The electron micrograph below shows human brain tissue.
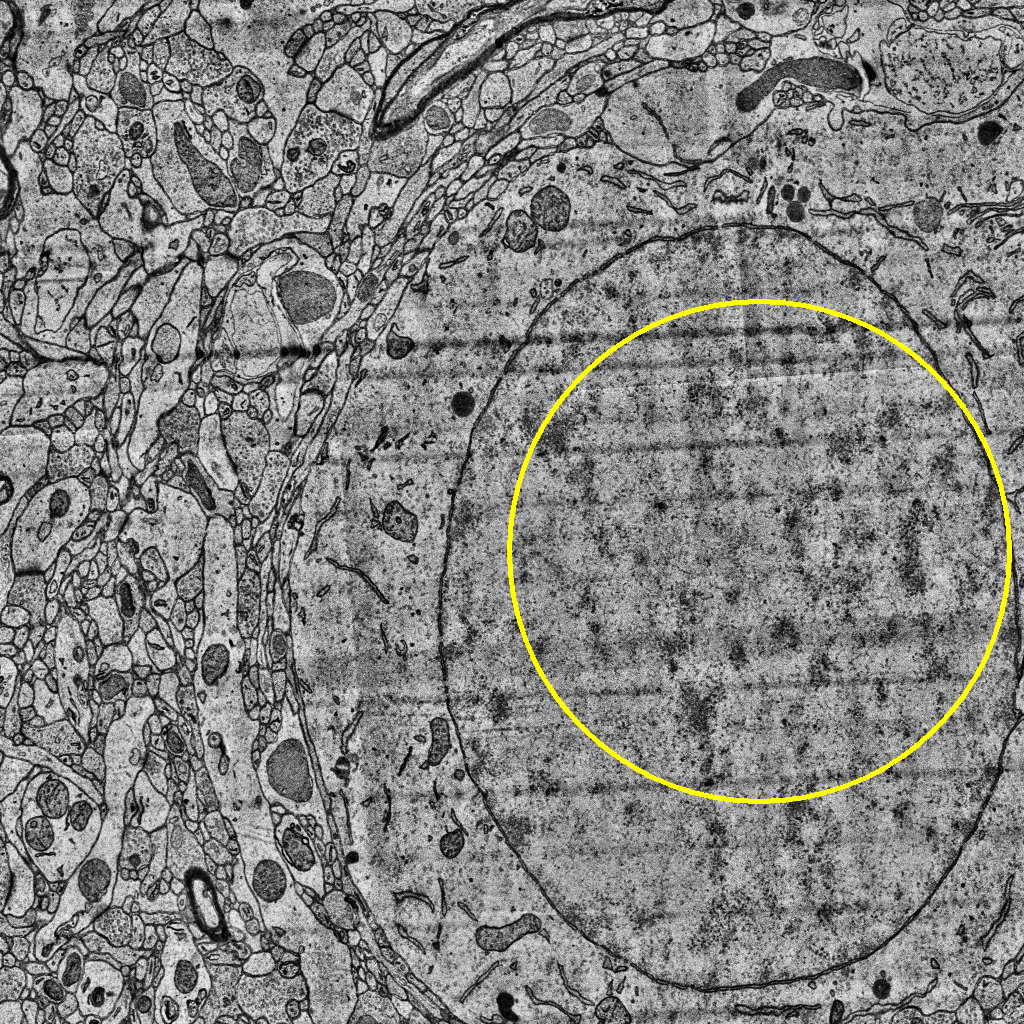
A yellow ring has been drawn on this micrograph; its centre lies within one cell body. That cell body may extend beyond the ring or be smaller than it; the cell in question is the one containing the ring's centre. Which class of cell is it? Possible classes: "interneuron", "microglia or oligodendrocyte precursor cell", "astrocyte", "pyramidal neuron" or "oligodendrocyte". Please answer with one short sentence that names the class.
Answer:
In the centre of the ring sits a pyramidal neuron.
